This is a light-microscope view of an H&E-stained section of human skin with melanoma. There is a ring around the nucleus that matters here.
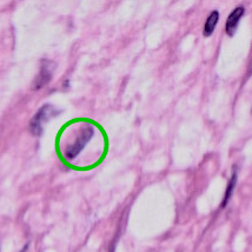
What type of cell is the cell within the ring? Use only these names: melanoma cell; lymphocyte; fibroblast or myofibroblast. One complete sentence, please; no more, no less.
At the level of cell identity, the cell within the ring is a fibroblast or myofibroblast.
